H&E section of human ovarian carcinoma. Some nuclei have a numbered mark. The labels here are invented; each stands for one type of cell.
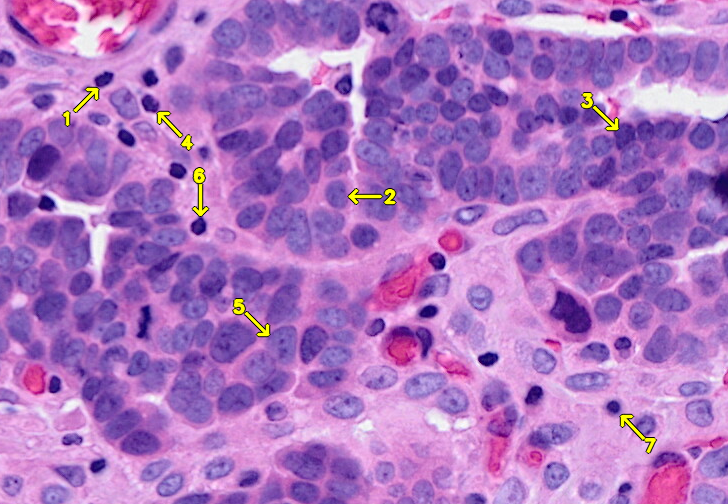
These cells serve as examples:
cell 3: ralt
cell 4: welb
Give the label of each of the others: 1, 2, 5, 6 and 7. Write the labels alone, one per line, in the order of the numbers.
welb
ralt
ralt
welb
welb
